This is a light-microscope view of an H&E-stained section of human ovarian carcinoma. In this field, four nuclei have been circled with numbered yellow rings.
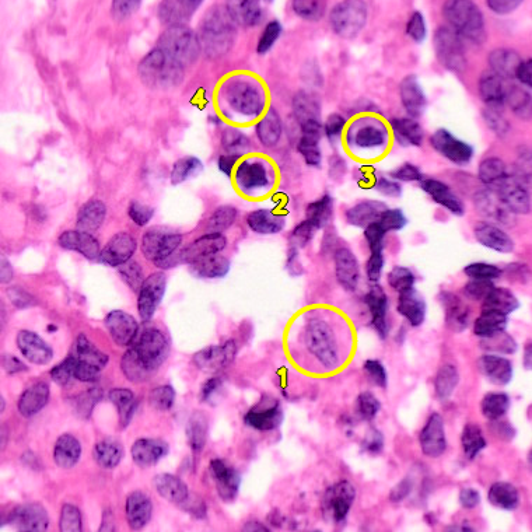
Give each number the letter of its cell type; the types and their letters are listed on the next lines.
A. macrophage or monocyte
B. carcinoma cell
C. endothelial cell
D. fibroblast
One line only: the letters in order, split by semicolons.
A; B; B; B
